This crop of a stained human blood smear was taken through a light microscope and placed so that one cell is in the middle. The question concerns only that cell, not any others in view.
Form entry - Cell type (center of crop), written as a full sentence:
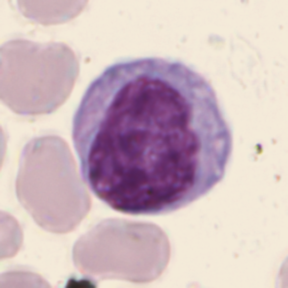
The cell in the exact centre of the crop is a plasma cell.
